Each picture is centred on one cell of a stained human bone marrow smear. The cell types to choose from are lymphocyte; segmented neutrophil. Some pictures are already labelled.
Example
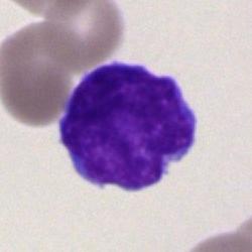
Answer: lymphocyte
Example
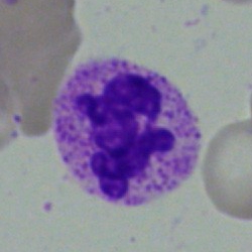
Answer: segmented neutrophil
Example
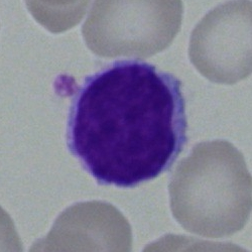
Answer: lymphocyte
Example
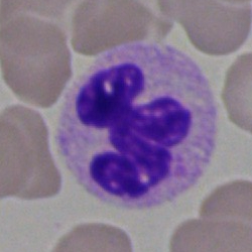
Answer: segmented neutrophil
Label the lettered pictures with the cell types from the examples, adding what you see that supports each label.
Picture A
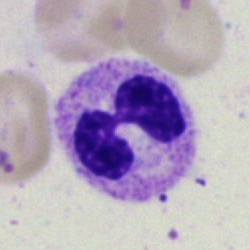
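Answer: segmented neutrophil. The cytoplasm is abundant and pale pinkish-lilac.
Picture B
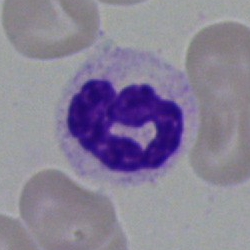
Answer: segmented neutrophil. The nucleus is a thick curved band that nearly encloses a small pale central space.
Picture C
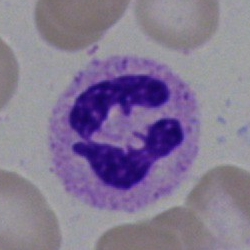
Answer: segmented neutrophil. The cytoplasm is plentiful and pale pinkish-lilac.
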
